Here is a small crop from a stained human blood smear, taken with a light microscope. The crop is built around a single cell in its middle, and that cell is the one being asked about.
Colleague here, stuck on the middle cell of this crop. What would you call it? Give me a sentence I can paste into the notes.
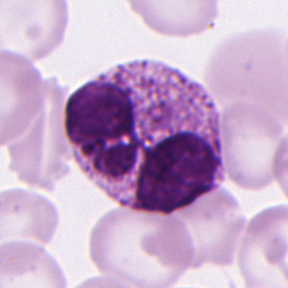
This crop has a basophil at its centre.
